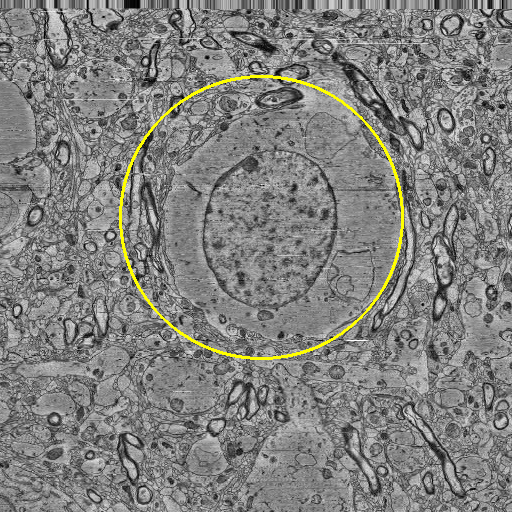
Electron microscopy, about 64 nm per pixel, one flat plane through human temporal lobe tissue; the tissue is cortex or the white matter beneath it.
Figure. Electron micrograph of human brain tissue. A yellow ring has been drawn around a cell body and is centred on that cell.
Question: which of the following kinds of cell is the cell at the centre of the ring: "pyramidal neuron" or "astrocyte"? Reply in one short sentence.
The cell at the centre of the ring is an astrocyte.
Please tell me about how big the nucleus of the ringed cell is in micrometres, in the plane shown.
Roughly 11 by 8 micrometres is the size of the nucleus in this plane.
